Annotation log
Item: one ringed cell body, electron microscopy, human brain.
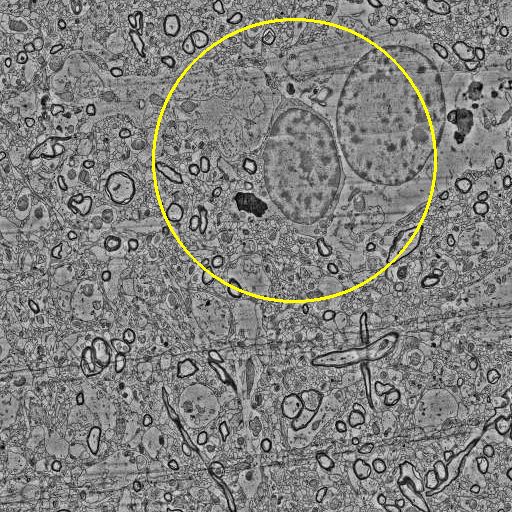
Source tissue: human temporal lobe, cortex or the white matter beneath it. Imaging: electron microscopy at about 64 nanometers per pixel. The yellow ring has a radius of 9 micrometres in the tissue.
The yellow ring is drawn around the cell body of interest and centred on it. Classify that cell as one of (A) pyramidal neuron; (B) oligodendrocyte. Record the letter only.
B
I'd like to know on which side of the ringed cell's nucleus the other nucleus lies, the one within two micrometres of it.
That other nucleus sits to the upper right of it.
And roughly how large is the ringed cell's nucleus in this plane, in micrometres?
Approximately 7 by 5 micrometers, which makes the nucleus clearly longer than it is wide in this plane.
